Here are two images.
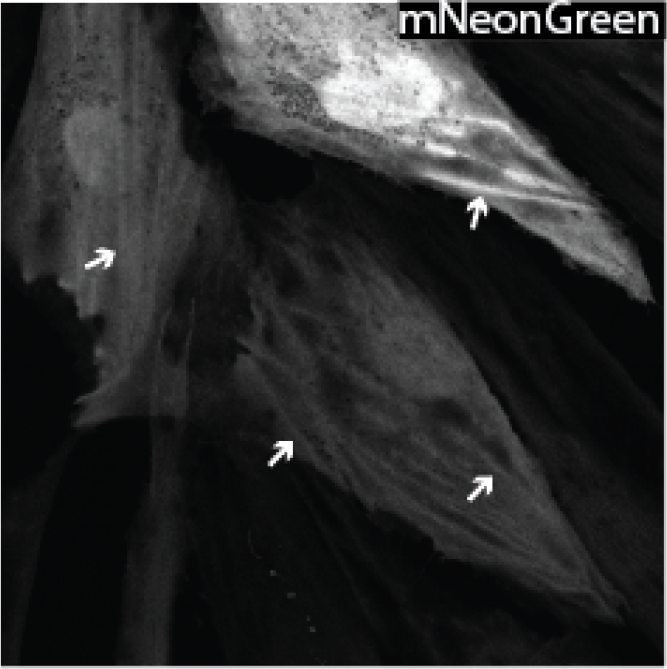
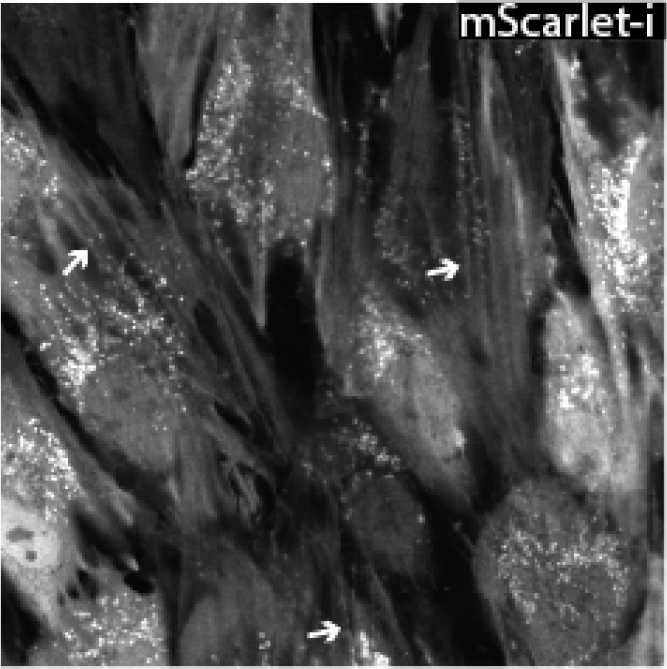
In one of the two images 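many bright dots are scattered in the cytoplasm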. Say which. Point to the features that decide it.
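Second image: numerous bright dots fill the cytoplasm of most cells. First image: the cytoplasm is mostly smooth with few bright dots. So: the second image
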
